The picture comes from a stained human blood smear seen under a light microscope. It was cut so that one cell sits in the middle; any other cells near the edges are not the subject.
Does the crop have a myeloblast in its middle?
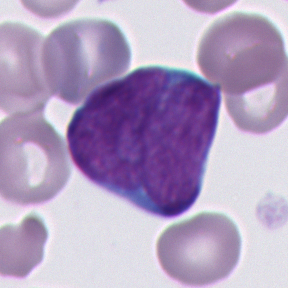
yes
